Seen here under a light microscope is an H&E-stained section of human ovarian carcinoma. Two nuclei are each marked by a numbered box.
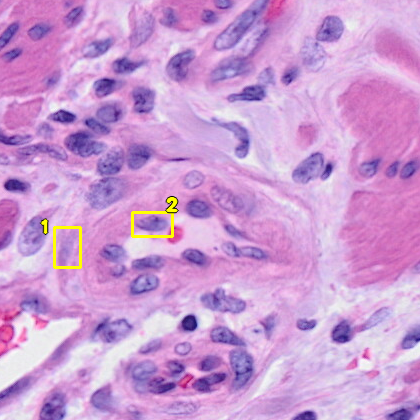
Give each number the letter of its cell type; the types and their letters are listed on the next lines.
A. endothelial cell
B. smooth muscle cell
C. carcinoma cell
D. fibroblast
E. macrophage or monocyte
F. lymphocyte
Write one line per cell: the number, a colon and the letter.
1: D
2: A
